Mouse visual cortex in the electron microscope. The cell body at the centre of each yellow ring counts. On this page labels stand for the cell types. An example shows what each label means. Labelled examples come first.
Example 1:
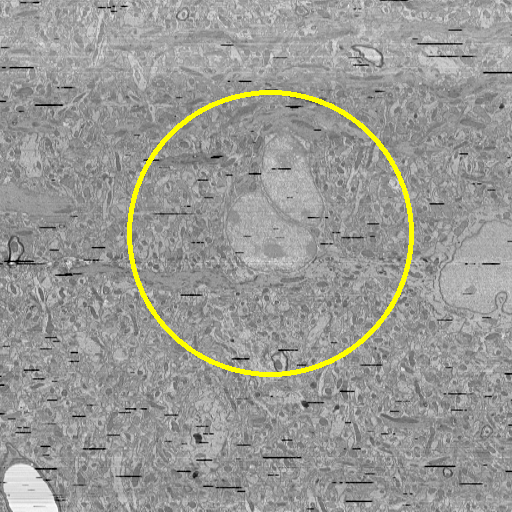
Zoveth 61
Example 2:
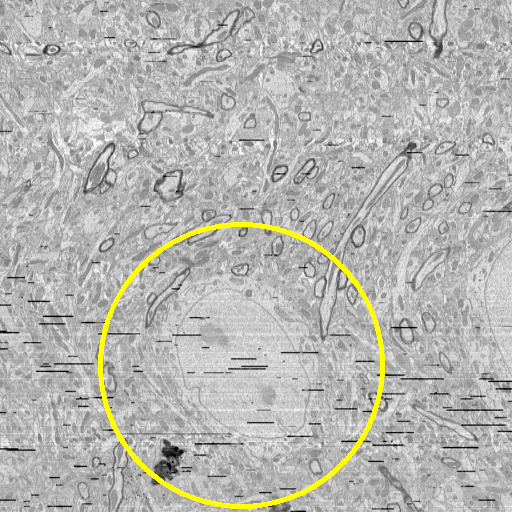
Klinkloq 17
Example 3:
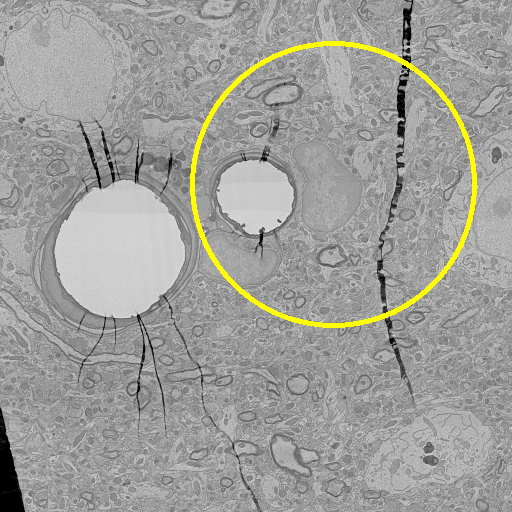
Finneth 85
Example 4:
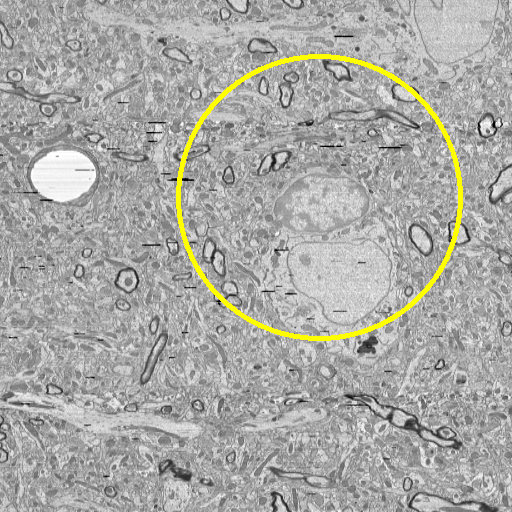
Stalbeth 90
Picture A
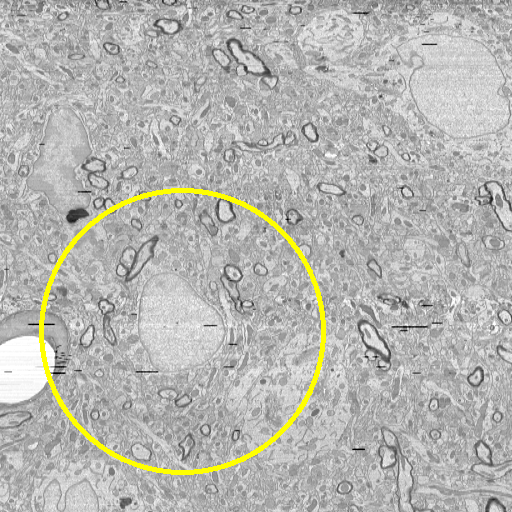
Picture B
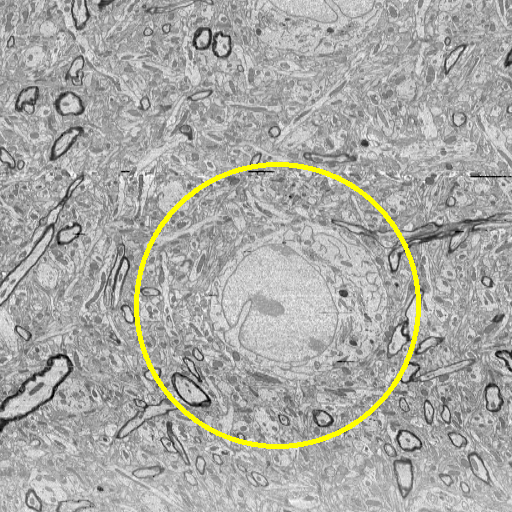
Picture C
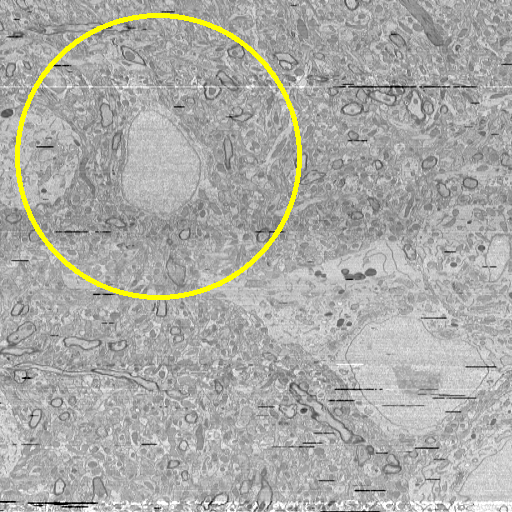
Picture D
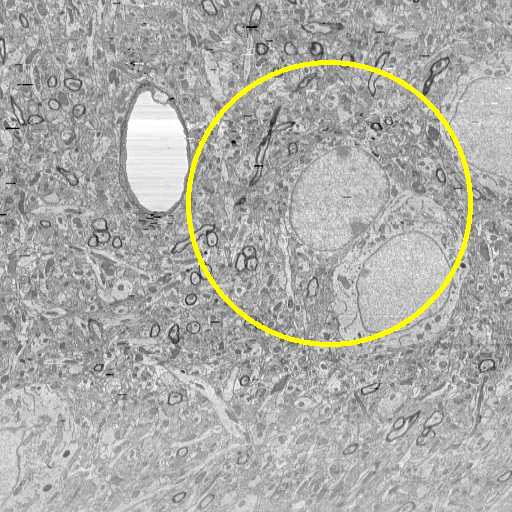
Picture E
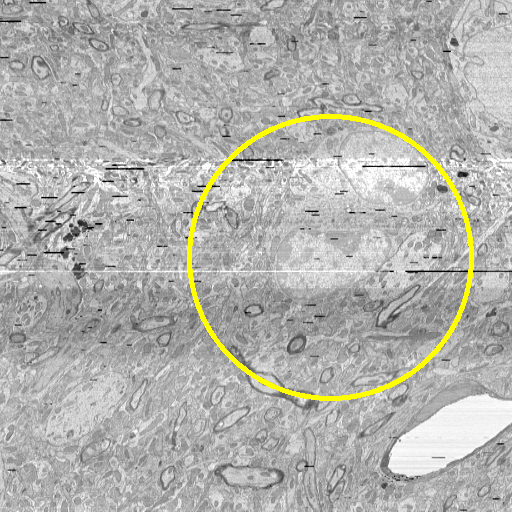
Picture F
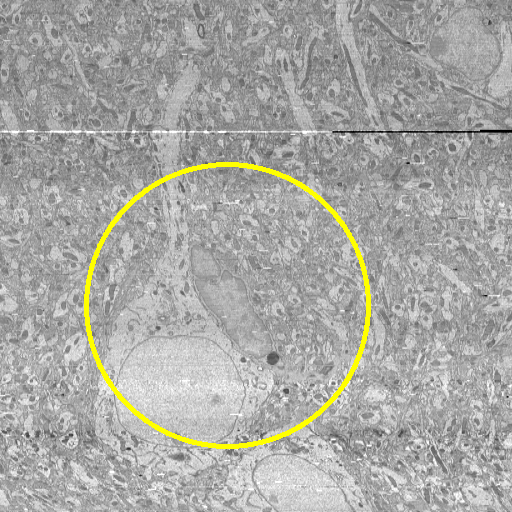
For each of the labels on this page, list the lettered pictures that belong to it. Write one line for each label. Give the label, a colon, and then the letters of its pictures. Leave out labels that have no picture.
Zoveth 61: A, C, D
Klinkloq 17: B
Finneth 85: F
Stalbeth 90: E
